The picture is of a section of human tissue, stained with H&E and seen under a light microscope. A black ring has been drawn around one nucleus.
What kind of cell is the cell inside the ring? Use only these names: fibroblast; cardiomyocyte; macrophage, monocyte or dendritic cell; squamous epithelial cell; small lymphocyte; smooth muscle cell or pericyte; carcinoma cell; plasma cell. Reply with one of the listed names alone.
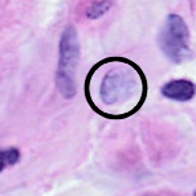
fibroblast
